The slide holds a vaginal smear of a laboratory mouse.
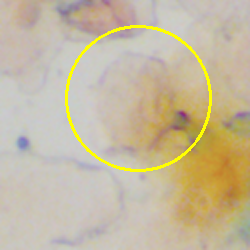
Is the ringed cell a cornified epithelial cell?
Yes, it is a cornified epithelial cell.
